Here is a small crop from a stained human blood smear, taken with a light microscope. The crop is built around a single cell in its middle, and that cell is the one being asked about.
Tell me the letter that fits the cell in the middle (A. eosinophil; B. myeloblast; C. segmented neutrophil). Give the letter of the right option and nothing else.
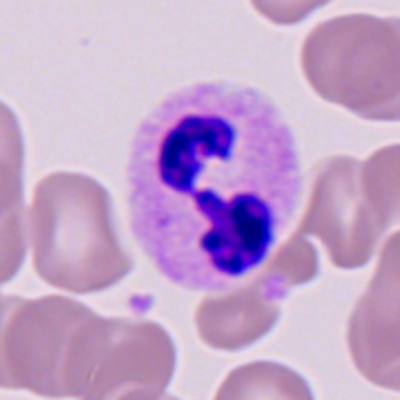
C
